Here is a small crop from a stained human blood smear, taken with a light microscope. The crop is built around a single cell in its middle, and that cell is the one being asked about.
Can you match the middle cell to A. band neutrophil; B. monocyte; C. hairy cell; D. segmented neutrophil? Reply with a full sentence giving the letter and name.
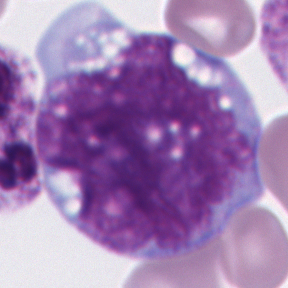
At the centre of the crop lies a monocyte, which makes option B correct.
